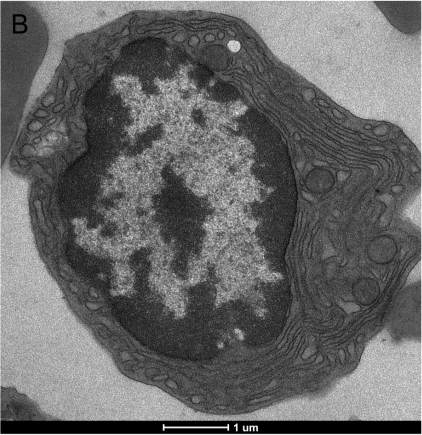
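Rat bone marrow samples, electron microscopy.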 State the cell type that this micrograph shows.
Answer: Plasma cells.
